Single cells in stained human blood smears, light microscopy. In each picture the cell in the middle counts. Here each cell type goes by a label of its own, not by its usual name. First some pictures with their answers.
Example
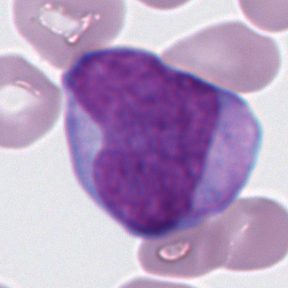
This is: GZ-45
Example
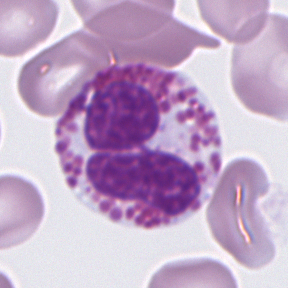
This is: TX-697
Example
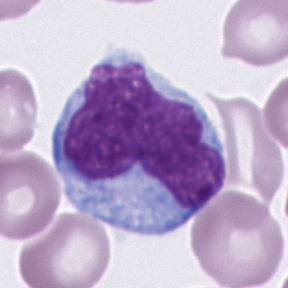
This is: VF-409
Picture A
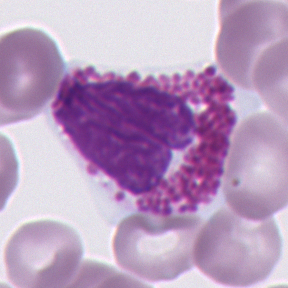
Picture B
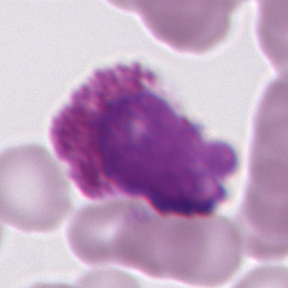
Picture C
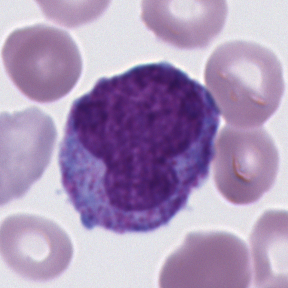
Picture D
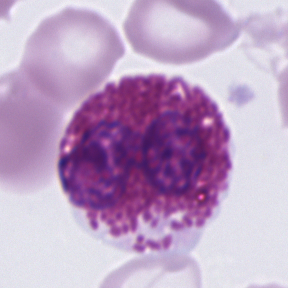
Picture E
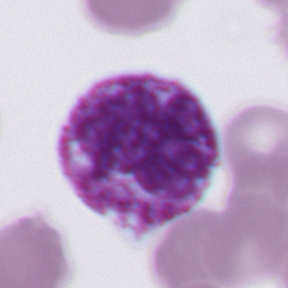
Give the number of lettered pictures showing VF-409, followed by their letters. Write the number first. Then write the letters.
0, none of them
